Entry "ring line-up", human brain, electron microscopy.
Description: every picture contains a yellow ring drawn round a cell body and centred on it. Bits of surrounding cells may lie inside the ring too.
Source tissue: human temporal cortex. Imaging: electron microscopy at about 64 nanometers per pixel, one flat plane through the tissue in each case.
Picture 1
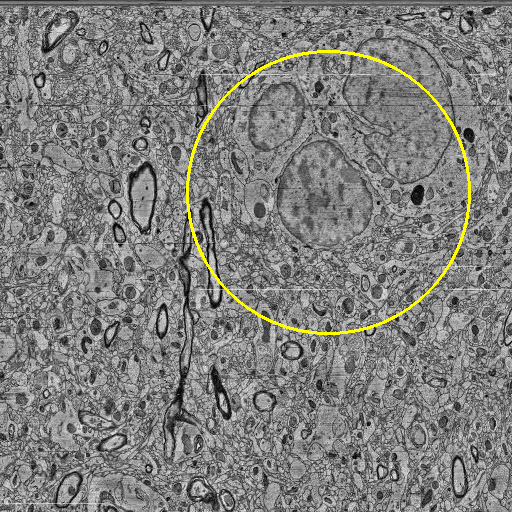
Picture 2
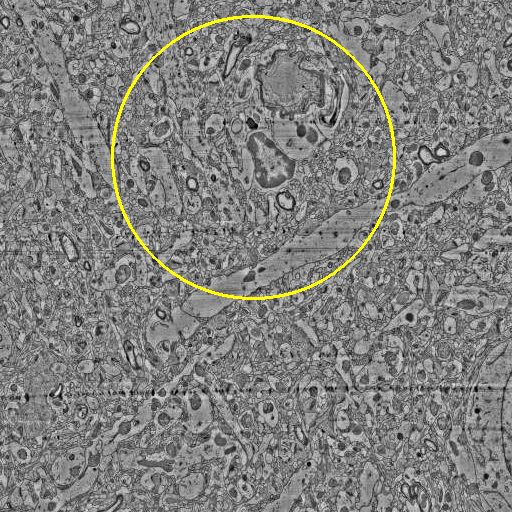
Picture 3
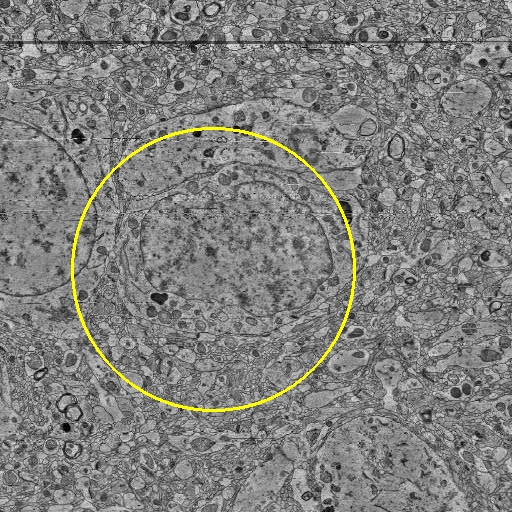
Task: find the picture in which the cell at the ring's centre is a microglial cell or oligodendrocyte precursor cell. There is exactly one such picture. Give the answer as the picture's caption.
Picture 2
